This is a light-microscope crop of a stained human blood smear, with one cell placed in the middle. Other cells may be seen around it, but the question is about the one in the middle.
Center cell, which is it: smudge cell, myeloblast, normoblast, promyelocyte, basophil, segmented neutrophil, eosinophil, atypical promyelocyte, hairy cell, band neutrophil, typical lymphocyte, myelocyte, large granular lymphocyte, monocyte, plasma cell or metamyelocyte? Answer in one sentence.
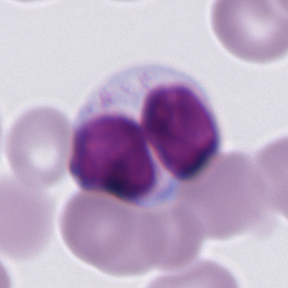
In the middle of this smear crop, the cell is a large granular lymphocyte.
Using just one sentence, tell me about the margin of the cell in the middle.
Around its whole circumference the outline stays smooth, free of projections.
